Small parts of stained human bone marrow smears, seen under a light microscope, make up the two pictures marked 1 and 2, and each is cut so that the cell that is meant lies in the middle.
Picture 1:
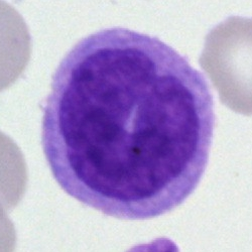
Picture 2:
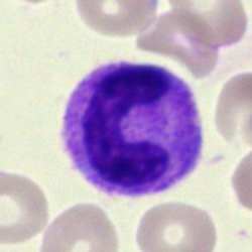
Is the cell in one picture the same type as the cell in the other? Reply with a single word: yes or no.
no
